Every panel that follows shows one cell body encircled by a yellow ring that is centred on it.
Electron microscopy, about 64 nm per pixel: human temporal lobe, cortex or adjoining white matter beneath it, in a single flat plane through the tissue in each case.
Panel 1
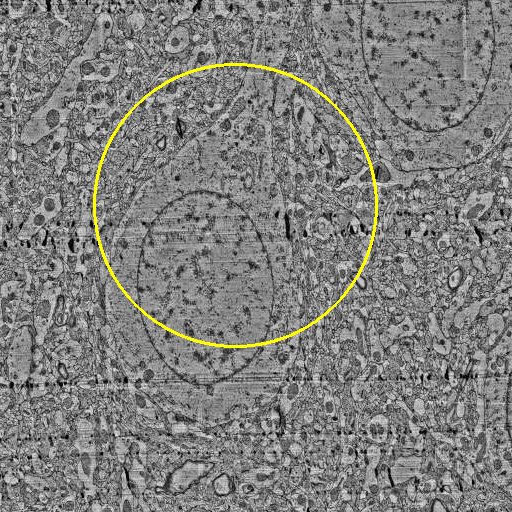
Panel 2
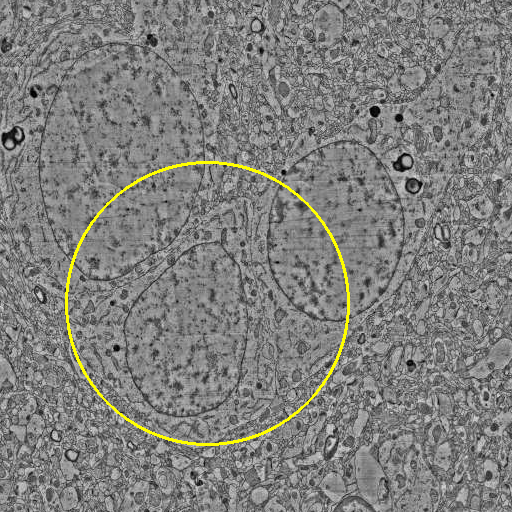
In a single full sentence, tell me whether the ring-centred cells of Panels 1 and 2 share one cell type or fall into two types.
In Panel 1 and Panel 2, the cells at the ring centres share one cell type.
